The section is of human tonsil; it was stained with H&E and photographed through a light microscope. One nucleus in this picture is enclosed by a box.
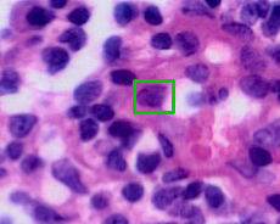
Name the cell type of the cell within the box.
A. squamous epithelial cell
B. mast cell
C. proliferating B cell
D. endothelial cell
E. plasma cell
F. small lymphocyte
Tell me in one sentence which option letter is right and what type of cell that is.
Option D correctly identifies the cell within the box as an endothelial cell.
